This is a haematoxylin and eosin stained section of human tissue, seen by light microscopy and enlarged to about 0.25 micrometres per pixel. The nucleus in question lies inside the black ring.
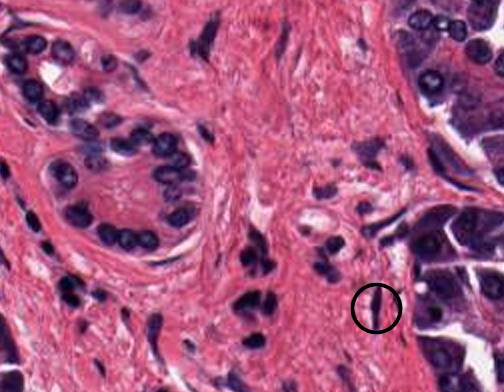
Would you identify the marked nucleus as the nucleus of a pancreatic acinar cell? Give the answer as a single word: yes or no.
no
